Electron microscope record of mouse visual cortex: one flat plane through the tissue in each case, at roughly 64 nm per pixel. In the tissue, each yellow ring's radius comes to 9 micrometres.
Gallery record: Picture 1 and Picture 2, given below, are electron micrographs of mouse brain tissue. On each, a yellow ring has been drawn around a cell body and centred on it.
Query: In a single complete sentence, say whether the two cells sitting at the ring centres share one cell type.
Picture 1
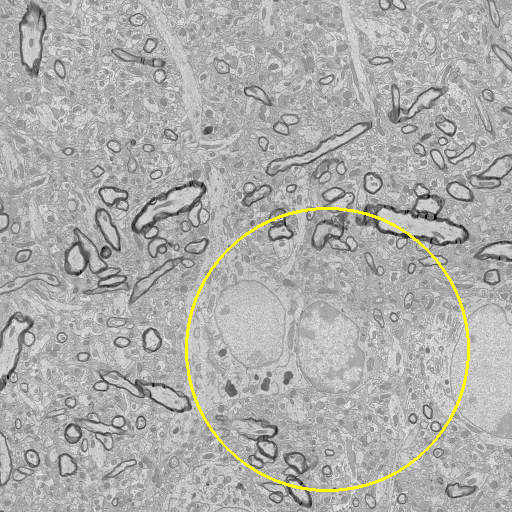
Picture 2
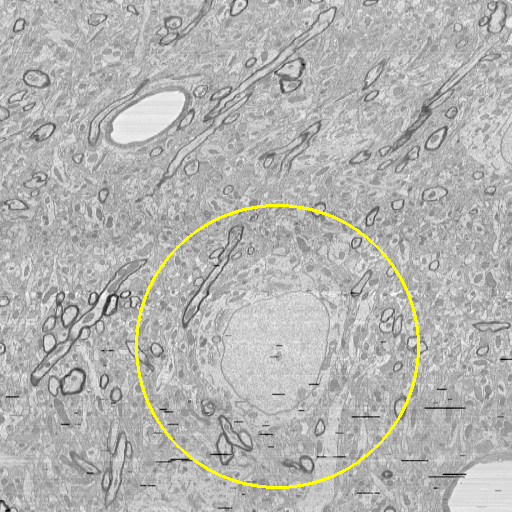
No, in the two pictures the cells at the rings' centres are of two separate types.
